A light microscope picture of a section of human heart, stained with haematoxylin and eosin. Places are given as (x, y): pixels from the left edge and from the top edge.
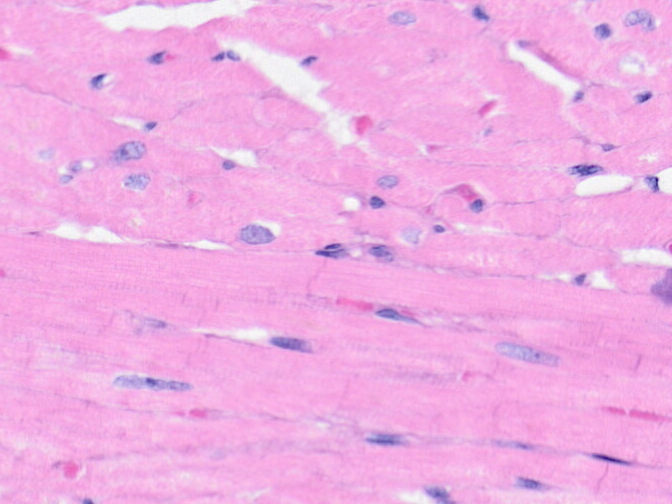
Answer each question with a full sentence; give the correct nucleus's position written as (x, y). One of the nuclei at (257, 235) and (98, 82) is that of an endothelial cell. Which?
Of the two options, the nucleus at (98, 82) is the one that belongs to an endothelial cell.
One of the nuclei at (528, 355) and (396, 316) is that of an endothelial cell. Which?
The nucleus at (396, 316) is attributed to an endothelial cell, unlike the other nucleus.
